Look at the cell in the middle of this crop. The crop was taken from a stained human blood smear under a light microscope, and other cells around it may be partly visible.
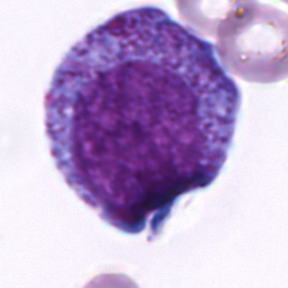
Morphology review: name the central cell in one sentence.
In the crop, the cell of interest at the centre is a promyelocyte.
